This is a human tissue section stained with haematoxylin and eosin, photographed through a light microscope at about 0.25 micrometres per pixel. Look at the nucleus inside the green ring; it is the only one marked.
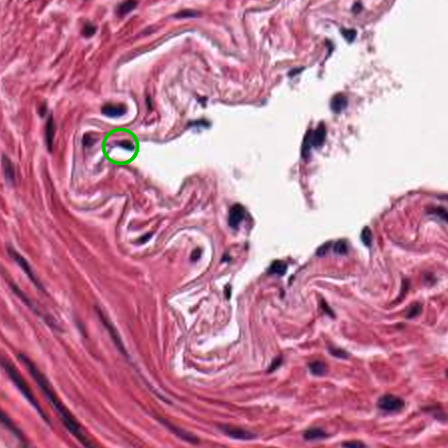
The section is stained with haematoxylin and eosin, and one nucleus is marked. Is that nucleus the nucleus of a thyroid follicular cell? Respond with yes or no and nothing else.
no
